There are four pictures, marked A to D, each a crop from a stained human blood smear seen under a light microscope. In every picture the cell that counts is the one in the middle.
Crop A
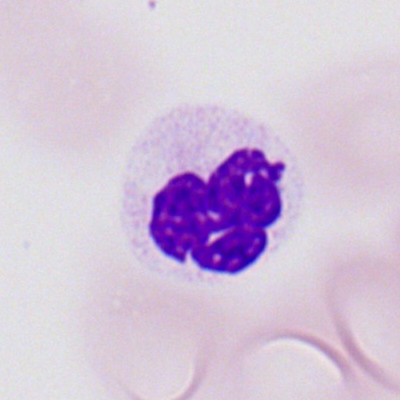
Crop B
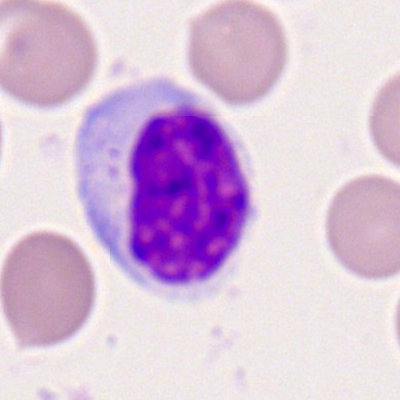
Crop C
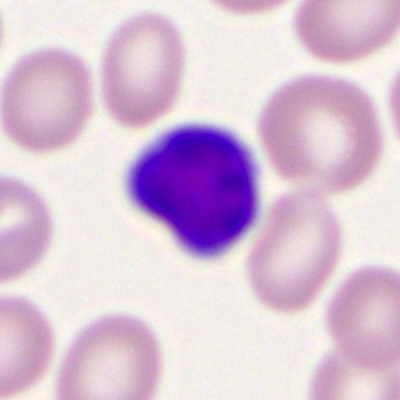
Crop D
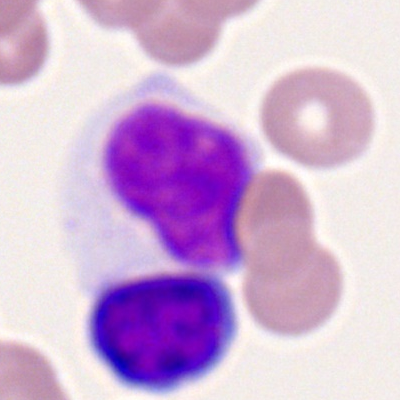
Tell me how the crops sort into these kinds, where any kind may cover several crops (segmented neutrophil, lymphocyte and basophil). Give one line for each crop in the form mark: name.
A: segmented neutrophil
B: lymphocyte
C: lymphocyte
D: lymphocyte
